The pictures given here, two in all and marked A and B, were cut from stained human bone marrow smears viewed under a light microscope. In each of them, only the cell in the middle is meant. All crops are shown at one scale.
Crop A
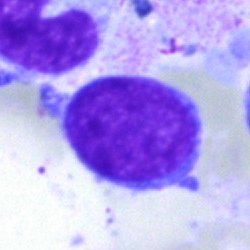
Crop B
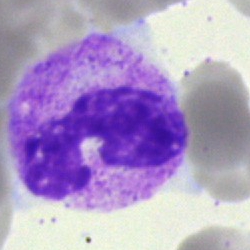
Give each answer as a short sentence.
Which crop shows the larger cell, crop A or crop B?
The cell in crop B is larger, with about 2 times the area of the one in crop A.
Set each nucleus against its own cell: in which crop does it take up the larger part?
In crop A the nucleus takes up the larger part of its cell.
